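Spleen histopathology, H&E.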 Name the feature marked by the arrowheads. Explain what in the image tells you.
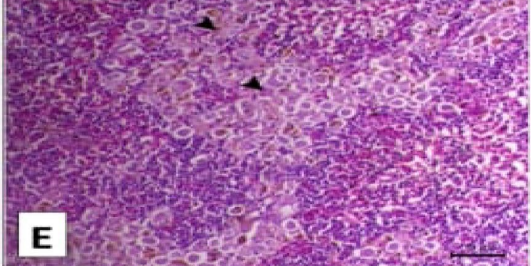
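The arrowheads point into a pale, loosely arranged area of rounded cells. Some cells in that area carry brownish pigment.
Conclusion: melanomacrophage center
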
